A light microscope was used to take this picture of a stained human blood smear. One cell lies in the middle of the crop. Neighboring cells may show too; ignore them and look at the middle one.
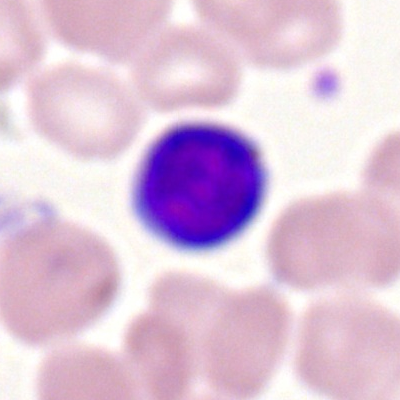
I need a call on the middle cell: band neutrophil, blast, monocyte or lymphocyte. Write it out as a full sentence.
As for the central cell, it is a lymphocyte.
